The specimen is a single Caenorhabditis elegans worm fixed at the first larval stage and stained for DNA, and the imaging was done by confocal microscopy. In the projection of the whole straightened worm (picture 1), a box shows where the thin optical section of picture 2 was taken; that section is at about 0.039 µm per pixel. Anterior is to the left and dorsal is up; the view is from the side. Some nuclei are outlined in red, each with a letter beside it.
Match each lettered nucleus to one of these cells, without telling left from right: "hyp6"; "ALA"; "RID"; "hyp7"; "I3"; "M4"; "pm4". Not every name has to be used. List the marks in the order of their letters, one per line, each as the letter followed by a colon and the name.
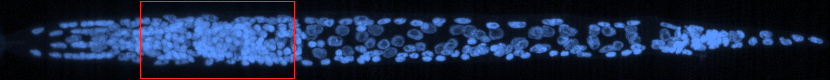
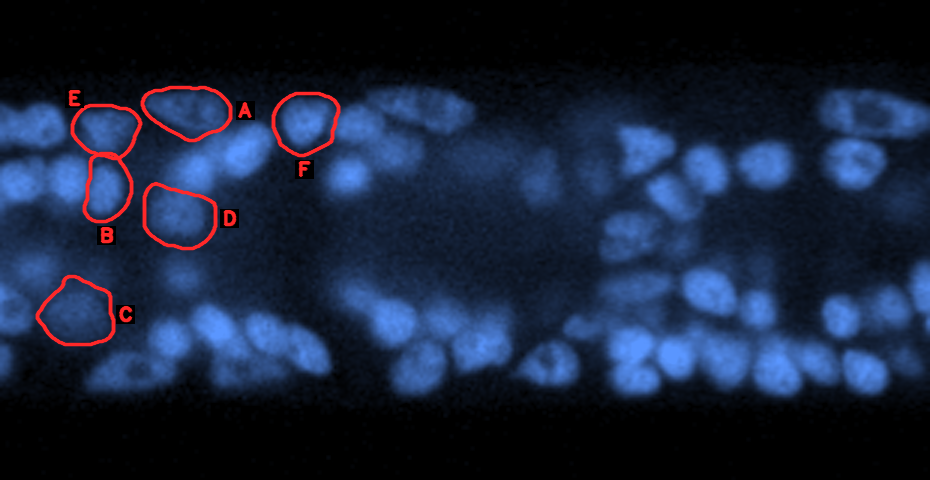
A: hyp7
B: I3
C: pm4
D: M4
E: hyp6
F: RID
